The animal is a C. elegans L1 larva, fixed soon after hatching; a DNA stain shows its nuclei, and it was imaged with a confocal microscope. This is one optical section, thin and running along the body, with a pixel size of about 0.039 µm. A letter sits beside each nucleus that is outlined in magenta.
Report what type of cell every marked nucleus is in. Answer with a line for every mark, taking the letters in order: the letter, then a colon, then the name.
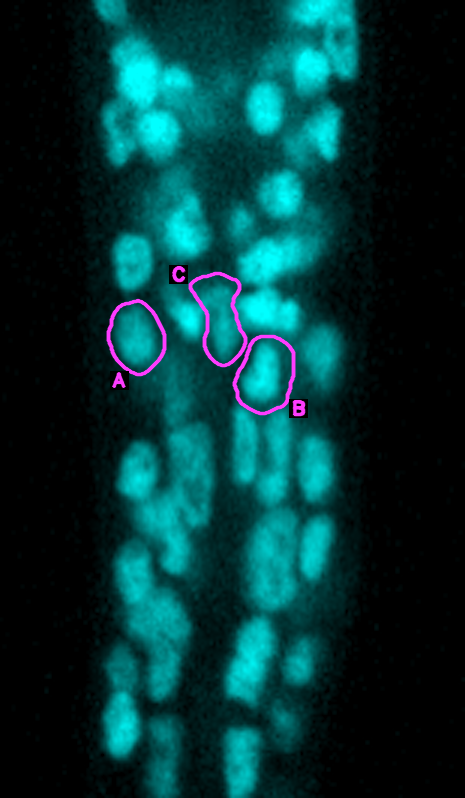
A: hypodermal cell (hyp)
B: neuron
C: pharyngeal marginal cell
